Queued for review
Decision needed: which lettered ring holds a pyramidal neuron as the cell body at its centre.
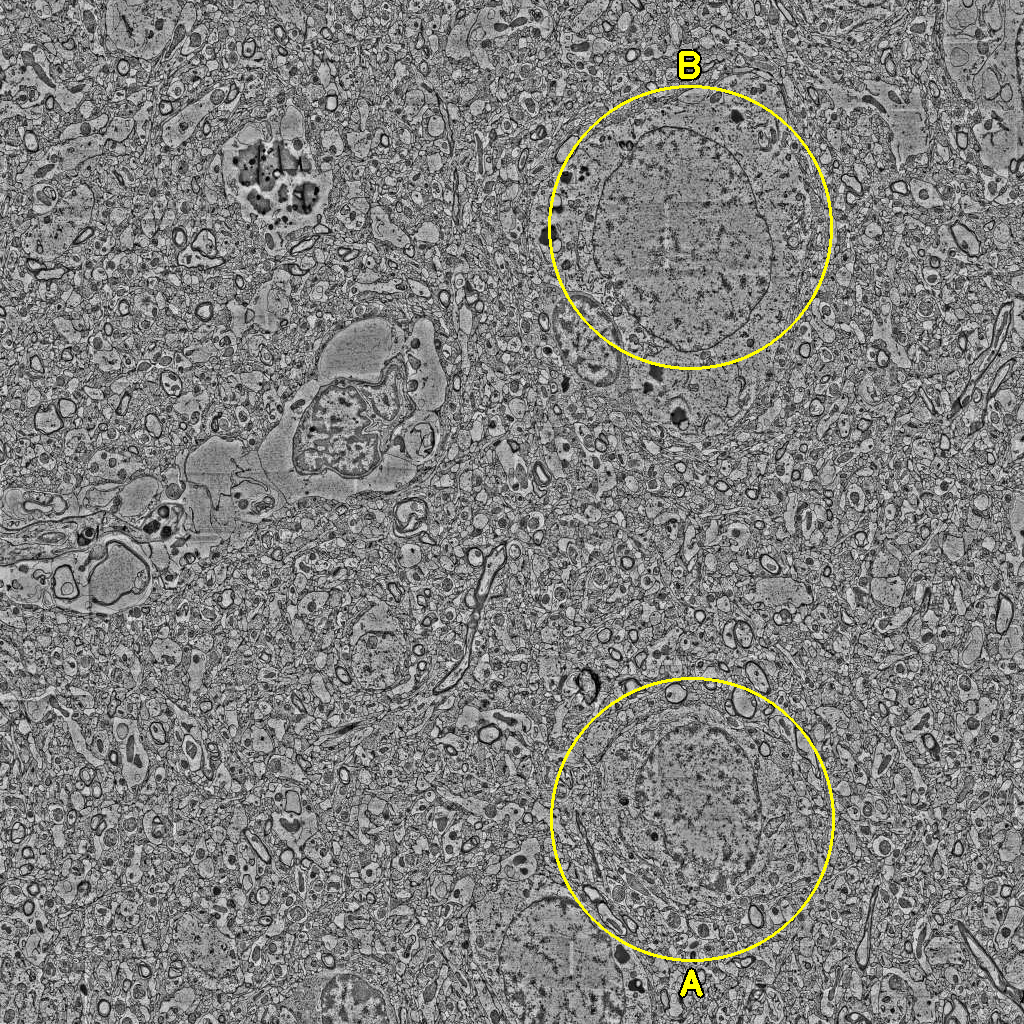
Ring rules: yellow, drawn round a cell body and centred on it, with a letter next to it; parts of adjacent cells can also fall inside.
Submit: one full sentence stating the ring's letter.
The cell asked for is the one at the centre of ring B in the picture.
